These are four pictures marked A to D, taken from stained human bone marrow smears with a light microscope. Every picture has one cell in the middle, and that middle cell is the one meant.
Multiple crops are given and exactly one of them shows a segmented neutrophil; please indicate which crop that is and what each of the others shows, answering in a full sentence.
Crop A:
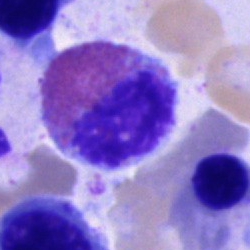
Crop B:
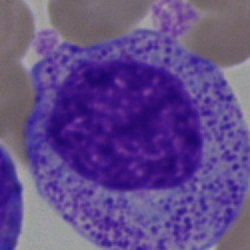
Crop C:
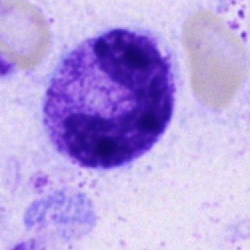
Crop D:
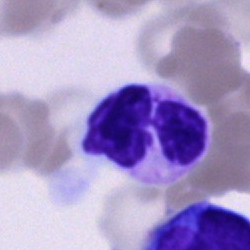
The cell centred in crop D is a segmented neutrophil; by contrast, crop A is an eosinophil, crop B is a promyelocyte and crop C is a band neutrophil.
